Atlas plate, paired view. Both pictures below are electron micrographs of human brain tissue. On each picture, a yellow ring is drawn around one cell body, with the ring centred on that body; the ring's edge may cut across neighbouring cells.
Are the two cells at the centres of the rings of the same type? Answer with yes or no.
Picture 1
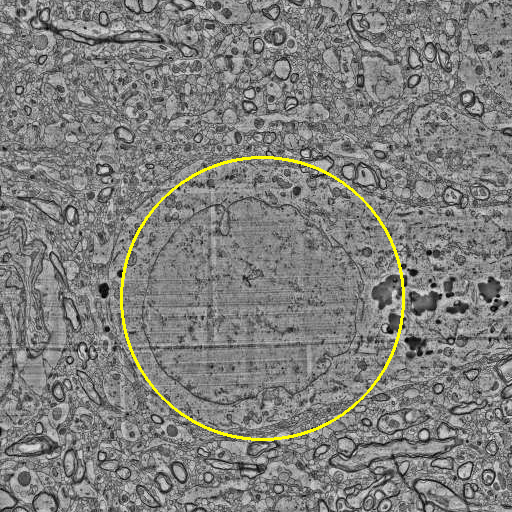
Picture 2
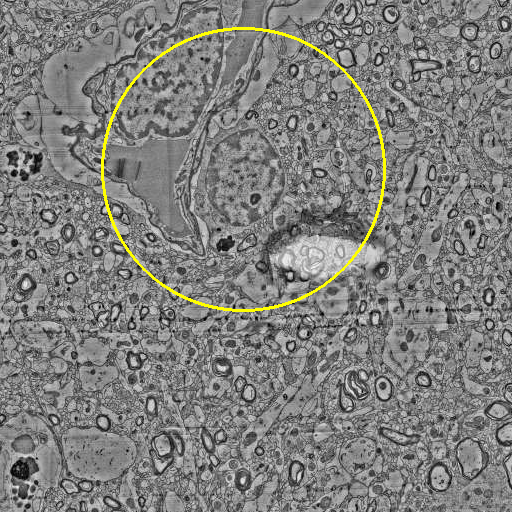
no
